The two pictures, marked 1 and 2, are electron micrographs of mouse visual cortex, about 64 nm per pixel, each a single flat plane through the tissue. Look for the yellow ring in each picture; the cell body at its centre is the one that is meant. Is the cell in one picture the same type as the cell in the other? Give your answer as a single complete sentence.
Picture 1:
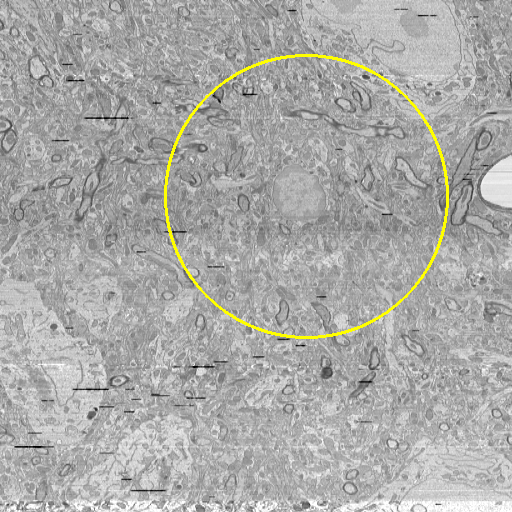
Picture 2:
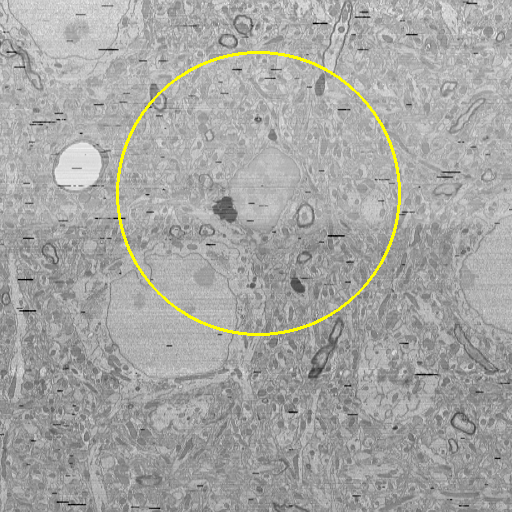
Yes, they are the same type: both are microglial cells.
